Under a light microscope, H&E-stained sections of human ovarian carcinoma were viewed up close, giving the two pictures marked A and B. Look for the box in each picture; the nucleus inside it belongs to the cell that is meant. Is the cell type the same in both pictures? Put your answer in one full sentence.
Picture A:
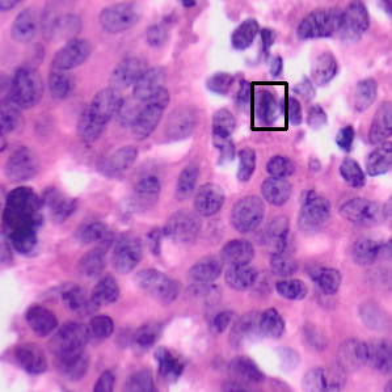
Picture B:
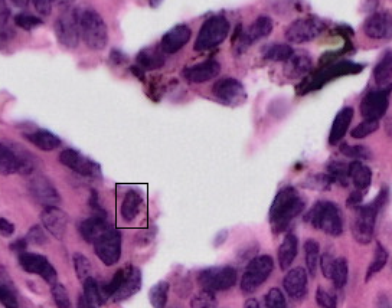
No, picture A shows a carcinoma cell and picture B shows a “macrophage or monocyte”.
